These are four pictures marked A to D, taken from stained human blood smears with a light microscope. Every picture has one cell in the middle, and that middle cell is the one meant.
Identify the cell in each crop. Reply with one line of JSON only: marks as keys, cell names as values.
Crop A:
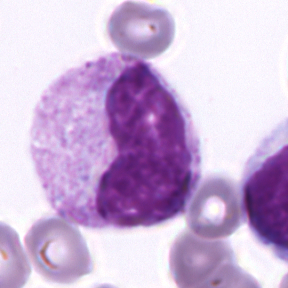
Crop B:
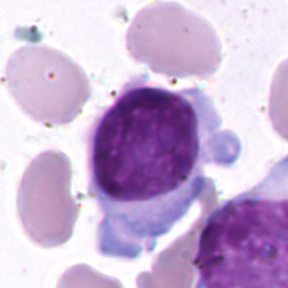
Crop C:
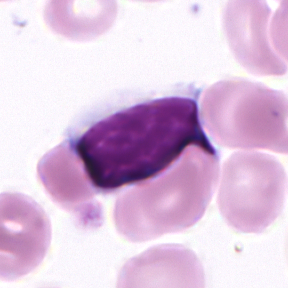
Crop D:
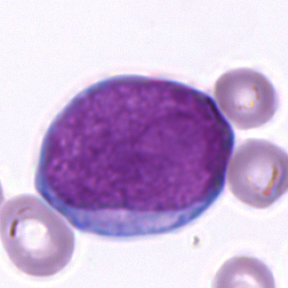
{"A": "metamyelocyte", "B": "plasma cell", "C": "typical lymphocyte", "D": "myeloblast"}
